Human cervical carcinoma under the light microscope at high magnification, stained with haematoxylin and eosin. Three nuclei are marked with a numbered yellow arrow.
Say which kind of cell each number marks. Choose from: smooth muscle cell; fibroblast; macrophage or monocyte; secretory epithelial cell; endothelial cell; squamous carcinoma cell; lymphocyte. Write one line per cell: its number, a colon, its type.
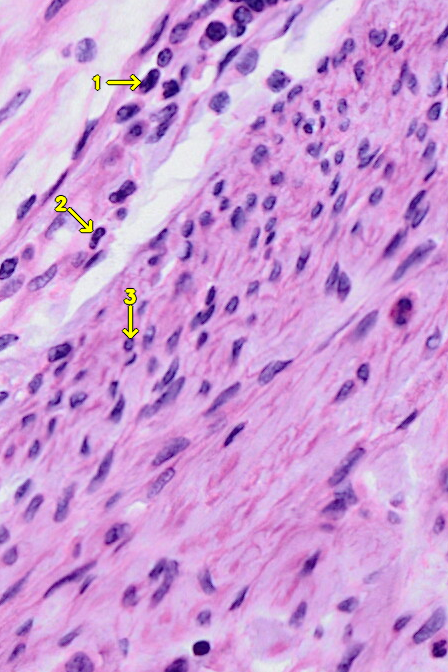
1: lymphocyte
2: lymphocyte
3: smooth muscle cell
